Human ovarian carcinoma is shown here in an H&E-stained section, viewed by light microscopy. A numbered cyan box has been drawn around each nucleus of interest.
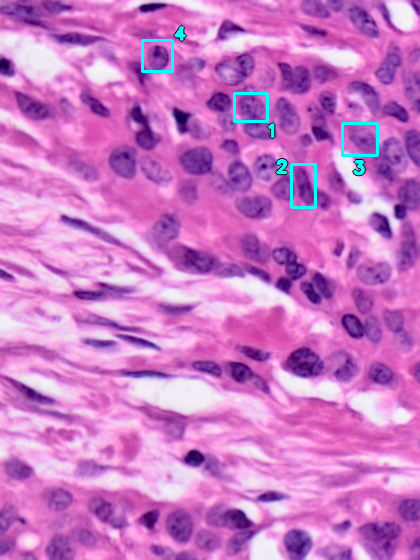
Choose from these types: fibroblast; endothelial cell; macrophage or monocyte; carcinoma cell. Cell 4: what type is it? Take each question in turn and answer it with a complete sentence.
The nucleus labeled 4 belongs to a macrophage or monocyte.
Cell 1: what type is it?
The nucleus labeled 1 belongs to a carcinoma cell.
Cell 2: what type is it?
Among the marked nuclei, number 2 belongs to a carcinoma cell.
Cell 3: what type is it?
The nucleus labeled 3 belongs to a carcinoma cell.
